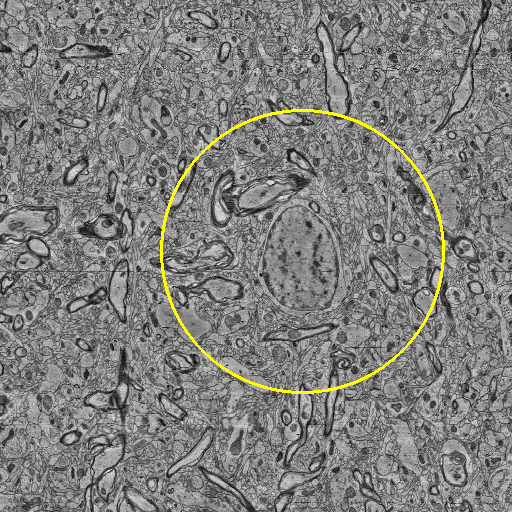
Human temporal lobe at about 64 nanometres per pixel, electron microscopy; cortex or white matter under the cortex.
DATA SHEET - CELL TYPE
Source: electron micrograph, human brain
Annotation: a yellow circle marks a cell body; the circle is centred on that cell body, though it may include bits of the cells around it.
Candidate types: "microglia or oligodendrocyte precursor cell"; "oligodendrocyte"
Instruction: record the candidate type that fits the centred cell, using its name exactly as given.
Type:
microglia or oligodendrocyte precursor cell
